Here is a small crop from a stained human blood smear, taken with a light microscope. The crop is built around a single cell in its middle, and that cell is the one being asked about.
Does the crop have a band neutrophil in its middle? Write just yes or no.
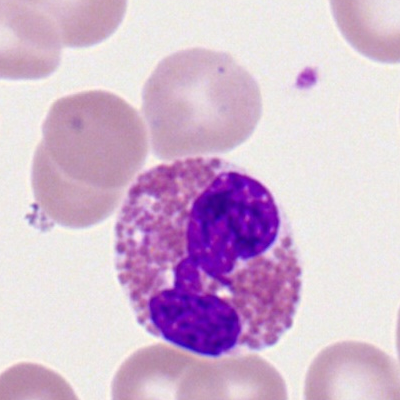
no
